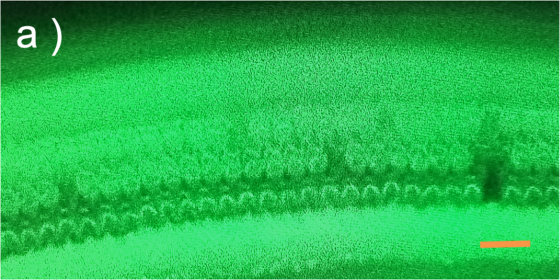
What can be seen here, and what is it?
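This is a surface view of the organ of Corti, looking down on the tops of the hair cells. Their hair bundles show as small bright green V shapes lined up in parallel rows along the strip, evenly spaced and largely without gaps.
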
